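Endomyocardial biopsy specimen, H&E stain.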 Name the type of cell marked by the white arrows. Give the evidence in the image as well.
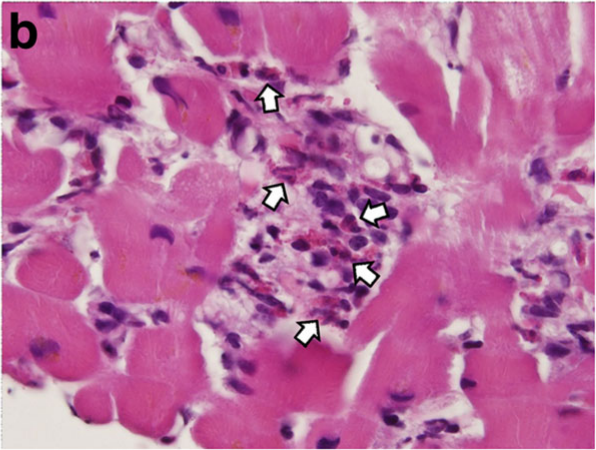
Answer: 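The marked cells have bright red-pink granular cytoplasm. The marked cells lie in the spaces between pink muscle fibres.
Conclusion: eosinophils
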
